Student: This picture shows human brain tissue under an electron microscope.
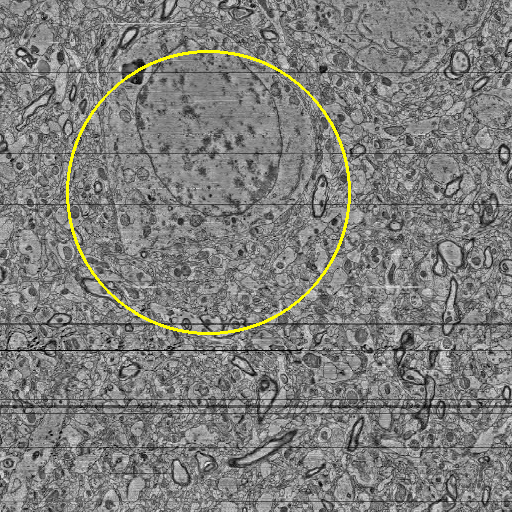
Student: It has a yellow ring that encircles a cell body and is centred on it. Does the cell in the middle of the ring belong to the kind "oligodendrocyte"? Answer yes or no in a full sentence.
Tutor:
No, the cell in the middle of the ring in this picture is of another kind.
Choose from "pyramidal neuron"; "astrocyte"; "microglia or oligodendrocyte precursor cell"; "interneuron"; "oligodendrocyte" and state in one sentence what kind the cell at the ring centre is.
So the cell at the centre is a pyramidal neuron.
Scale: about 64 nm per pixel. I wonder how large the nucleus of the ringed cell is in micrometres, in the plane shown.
The ringed cell's nucleus measures approximately 12 by 9 micrometres in this plane.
